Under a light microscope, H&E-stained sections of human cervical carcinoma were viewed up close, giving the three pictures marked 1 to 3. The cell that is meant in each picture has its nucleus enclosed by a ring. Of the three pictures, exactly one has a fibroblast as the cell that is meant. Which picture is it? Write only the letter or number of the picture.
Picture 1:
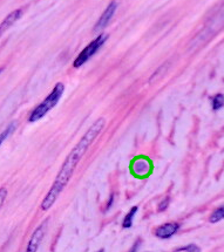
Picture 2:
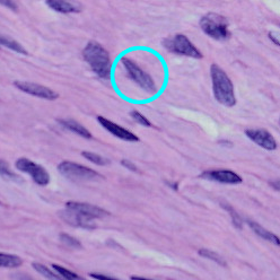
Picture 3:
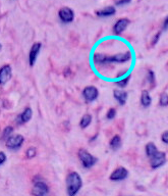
2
